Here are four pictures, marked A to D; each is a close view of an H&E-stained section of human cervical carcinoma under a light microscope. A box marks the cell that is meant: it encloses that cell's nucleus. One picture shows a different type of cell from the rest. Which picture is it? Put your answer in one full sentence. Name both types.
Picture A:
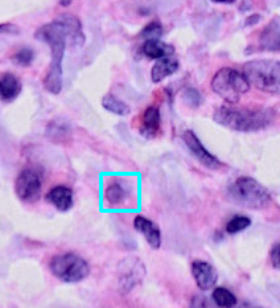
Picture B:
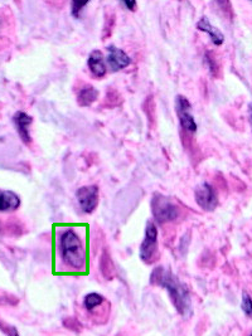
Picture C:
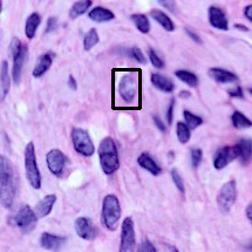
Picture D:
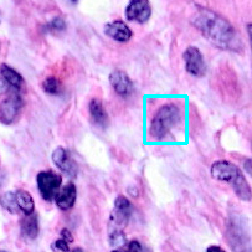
All pictures except C show “macrophages or monocytes”; picture C shows an endothelial cell.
